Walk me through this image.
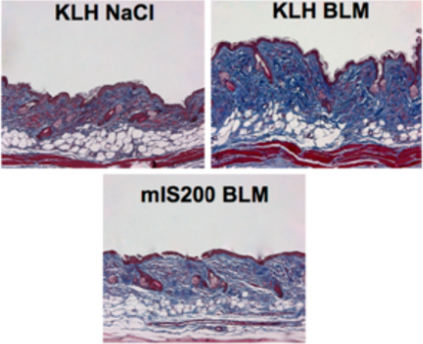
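Beneath the dermis is a layer of pale fat cells and, at the base, a red band of muscle. In one section the blue dermis is markedly thicker and denser than in the others.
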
